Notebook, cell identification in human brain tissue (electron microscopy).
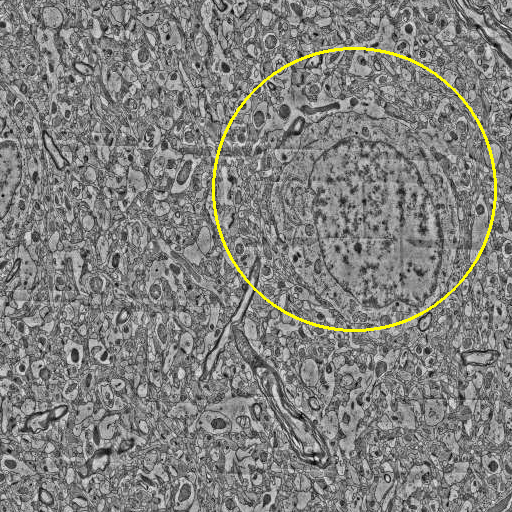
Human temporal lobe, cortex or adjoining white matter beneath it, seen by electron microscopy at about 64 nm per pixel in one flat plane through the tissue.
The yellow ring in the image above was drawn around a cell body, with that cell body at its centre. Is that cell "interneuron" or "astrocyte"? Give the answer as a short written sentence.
The cell in the ring is an interneuron.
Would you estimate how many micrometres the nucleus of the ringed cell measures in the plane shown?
In this plane, roughly 11 by 8 micrometres.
